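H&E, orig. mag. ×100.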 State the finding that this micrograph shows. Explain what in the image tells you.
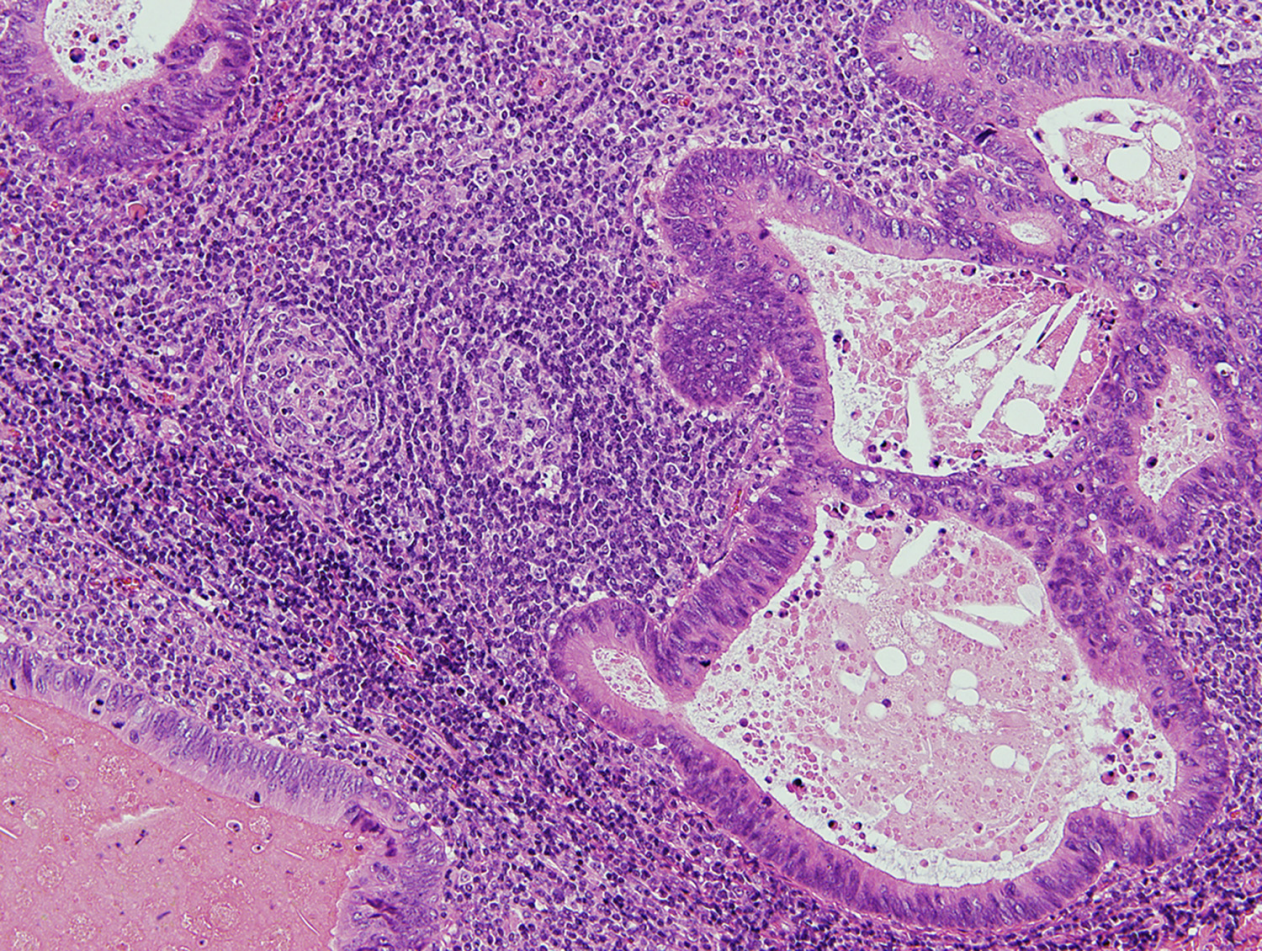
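Well-formed glands lined by tall columnar epithelium. Epithelial nuclei are elongated, crowded and stratified. Glands are irregular, branching and budding. So: well differentiated adenocarcinoma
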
